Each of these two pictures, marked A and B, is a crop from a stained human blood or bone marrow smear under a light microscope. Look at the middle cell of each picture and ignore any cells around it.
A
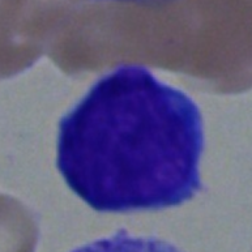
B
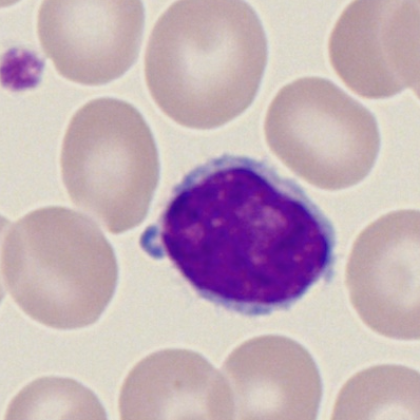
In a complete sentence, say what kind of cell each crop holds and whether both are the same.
Yes, lymphocytes are seen in both crops.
